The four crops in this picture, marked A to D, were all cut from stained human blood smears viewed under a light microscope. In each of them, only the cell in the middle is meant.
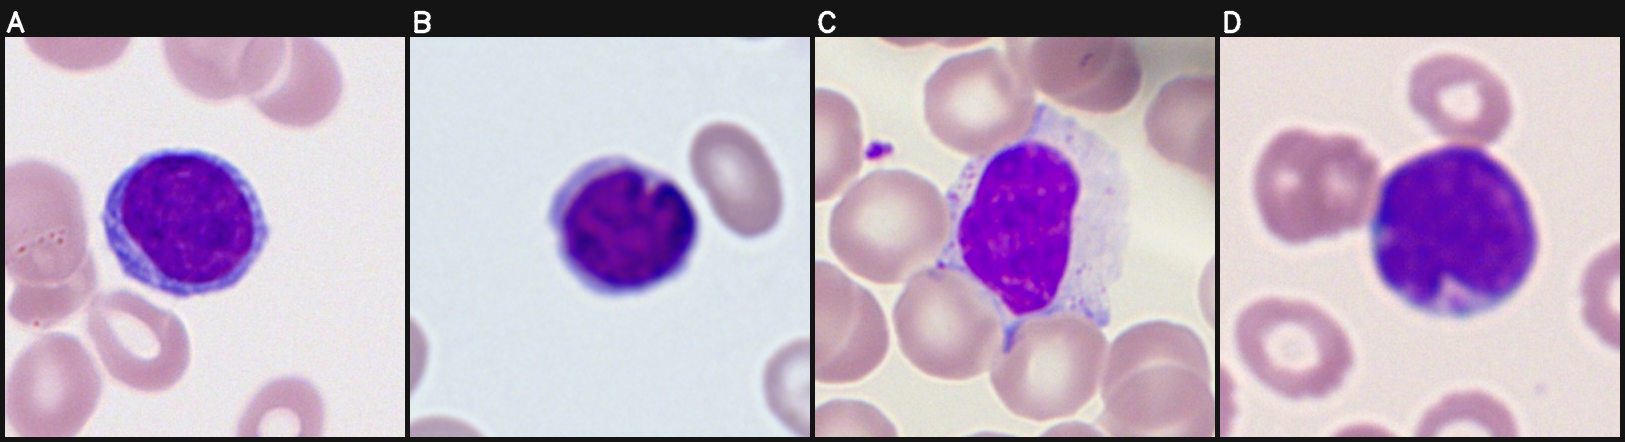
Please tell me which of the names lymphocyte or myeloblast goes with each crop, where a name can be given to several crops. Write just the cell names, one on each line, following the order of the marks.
lymphocyte
lymphocyte
lymphocyte
myeloblast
